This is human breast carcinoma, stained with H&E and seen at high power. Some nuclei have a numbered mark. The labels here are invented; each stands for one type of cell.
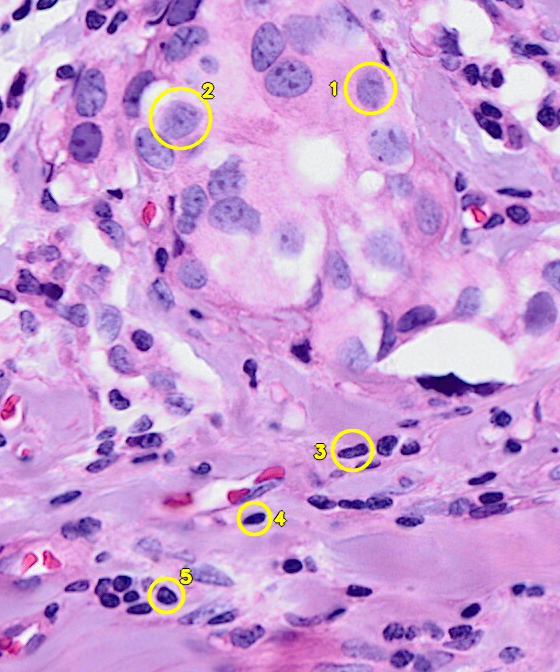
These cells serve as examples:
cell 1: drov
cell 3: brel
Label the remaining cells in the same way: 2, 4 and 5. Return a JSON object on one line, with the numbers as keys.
{"2": "drov", "4": "brel", "5": "brel"}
